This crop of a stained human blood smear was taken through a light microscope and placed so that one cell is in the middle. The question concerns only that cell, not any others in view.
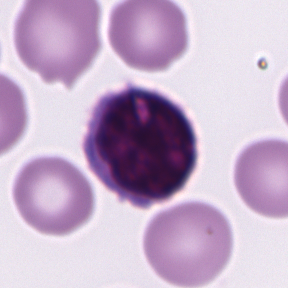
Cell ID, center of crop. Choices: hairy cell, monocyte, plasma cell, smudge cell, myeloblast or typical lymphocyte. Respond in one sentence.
In this smear crop, the middle cell is a typical lymphocyte.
